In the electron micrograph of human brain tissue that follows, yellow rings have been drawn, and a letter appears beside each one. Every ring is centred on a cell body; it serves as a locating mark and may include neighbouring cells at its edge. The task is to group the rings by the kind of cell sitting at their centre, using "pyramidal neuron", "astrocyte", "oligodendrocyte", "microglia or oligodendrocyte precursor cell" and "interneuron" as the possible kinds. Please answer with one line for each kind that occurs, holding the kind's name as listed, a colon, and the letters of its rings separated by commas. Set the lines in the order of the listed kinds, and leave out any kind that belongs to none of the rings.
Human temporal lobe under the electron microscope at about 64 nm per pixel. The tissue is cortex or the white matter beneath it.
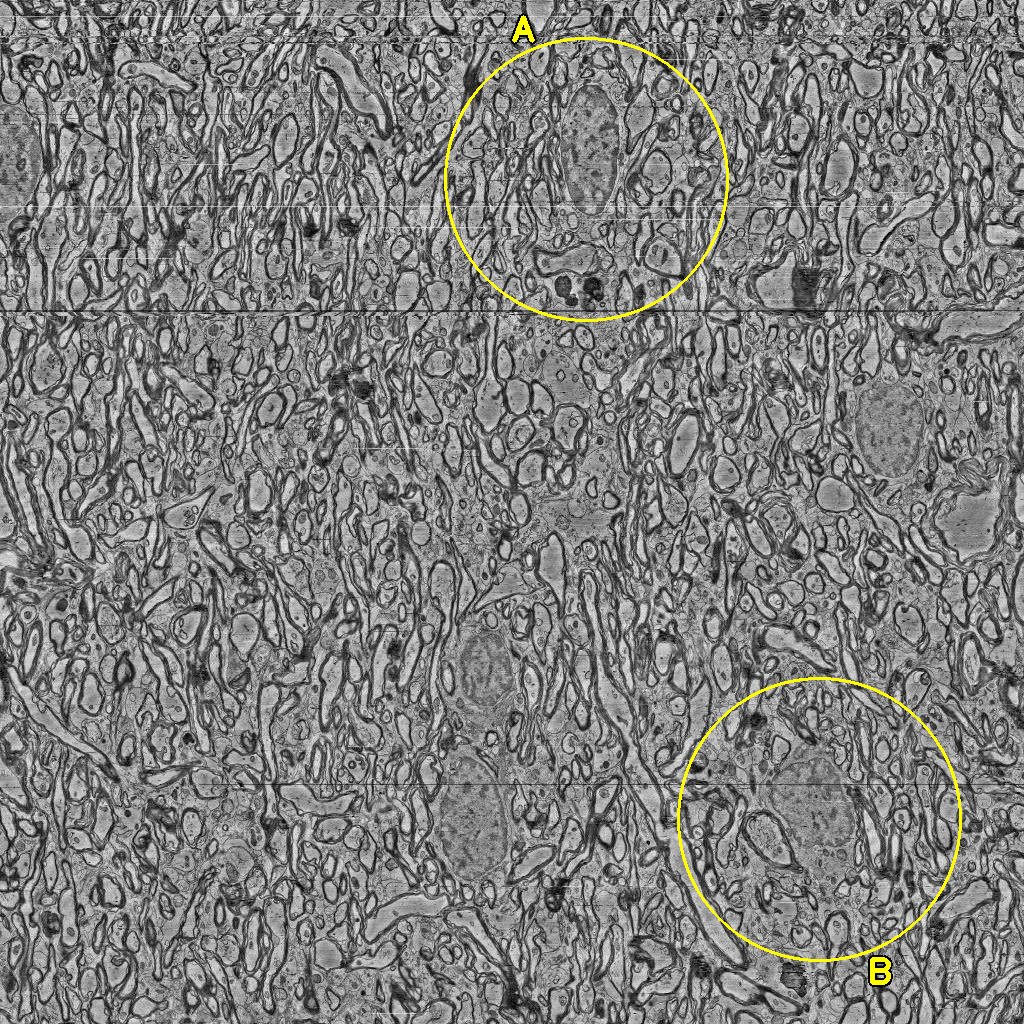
oligodendrocyte: B
microglia or oligodendrocyte precursor cell: A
